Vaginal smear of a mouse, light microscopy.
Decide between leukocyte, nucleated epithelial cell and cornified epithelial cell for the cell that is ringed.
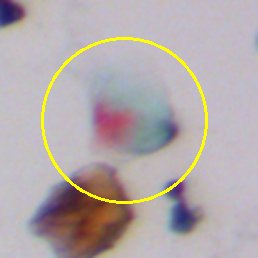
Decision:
I take the ringed cell for a nucleated epithelial cell.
